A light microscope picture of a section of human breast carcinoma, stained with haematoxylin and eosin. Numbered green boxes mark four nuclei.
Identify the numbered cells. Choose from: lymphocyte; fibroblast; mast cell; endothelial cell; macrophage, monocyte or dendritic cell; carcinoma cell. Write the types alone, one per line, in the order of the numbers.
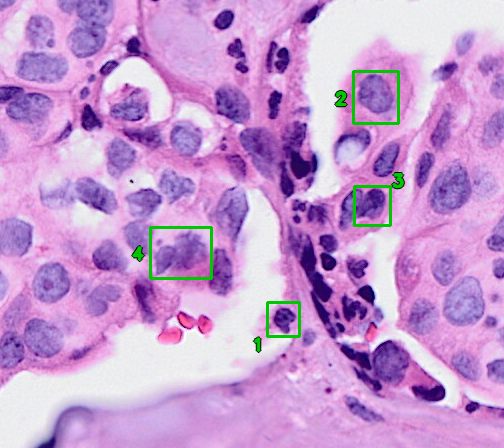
lymphocyte
carcinoma cell
carcinoma cell
carcinoma cell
